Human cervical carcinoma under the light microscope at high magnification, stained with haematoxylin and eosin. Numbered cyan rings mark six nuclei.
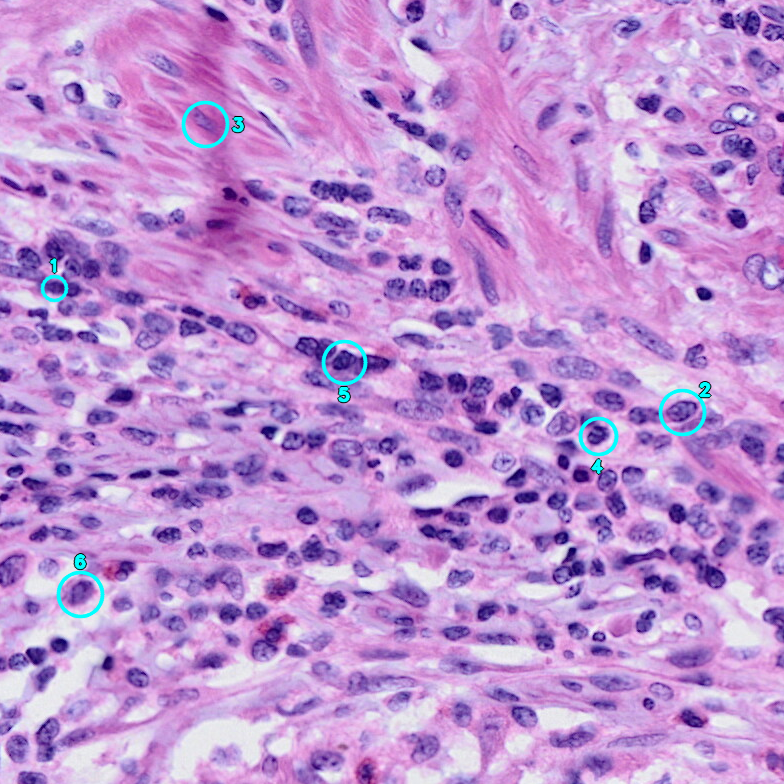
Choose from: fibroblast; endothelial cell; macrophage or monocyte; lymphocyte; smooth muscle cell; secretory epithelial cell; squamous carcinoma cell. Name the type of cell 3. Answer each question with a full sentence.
The nucleus with number 3 is that of a smooth muscle cell.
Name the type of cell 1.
The cell that bears the number 1 is a lymphocyte.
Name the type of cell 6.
To a macrophage or monocyte belongs the nucleus marked 6.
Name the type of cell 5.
The cell indicated by marker 5 is a lymphocyte in this section.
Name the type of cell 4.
The label 4 in this section denotes a lymphocyte.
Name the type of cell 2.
Here the cell numbered 2 is a lymphocyte.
